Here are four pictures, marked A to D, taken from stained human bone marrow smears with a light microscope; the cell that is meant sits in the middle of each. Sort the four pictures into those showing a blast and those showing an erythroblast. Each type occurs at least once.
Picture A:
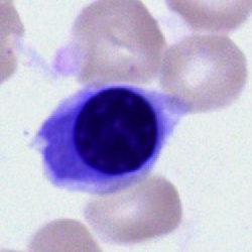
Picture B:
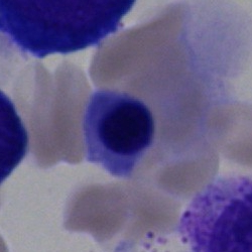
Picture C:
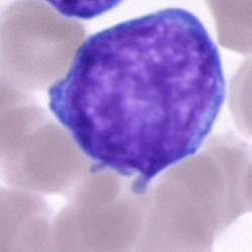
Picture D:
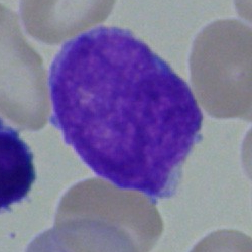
A: erythroblast
B: erythroblast
C: blast
D: blast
